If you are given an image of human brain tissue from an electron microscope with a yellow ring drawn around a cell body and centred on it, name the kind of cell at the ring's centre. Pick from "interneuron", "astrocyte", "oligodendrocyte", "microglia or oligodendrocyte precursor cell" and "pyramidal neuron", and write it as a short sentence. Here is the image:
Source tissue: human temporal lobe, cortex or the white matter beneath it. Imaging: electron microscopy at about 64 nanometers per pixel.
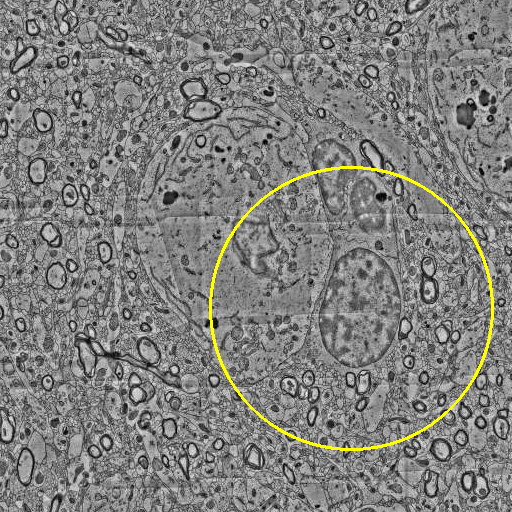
The cell at the ring's centre is an oligodendrocyte.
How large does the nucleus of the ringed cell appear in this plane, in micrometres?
In this plane, the nucleus of the cell at the centre of the ring measures about 8 by 5 micrometres.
